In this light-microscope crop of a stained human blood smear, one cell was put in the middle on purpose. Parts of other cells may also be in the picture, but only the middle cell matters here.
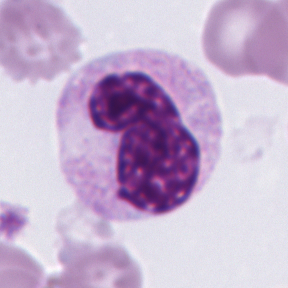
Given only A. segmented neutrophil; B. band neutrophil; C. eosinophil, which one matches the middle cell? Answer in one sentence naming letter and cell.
With the cell in the middle being a segmented neutrophil, option A is the correct choice.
